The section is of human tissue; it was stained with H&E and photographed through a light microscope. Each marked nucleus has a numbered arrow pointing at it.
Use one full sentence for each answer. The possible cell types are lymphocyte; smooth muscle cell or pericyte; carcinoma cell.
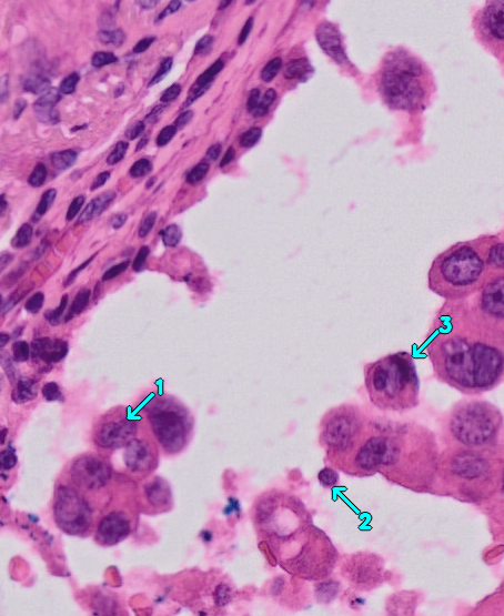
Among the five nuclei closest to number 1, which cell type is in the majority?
The majority of the five nuclei closest to number 1 belong to carcinoma cells.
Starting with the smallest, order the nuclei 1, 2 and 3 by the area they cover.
From smallest to largest, the order is 2, 1, 3.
